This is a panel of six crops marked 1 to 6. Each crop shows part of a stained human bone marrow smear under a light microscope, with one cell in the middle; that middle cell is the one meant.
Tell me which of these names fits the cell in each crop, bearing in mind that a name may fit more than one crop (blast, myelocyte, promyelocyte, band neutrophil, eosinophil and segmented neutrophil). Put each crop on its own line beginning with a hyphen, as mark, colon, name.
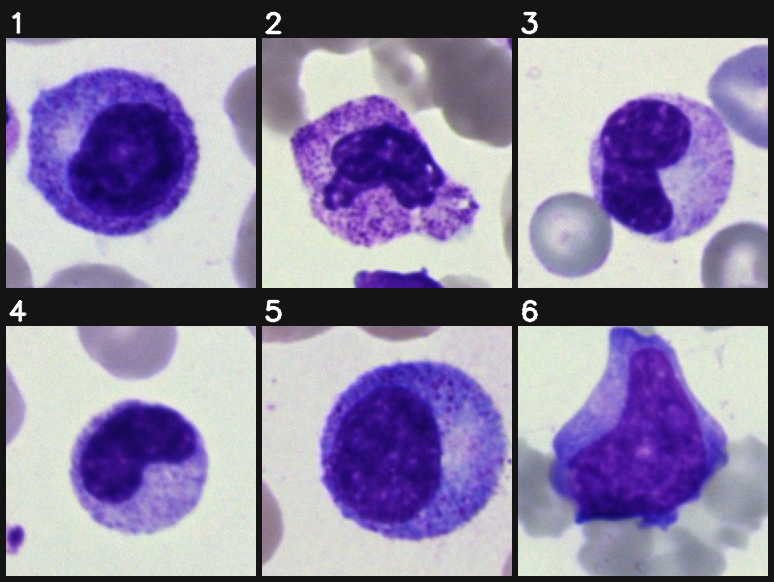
- 1: promyelocyte
- 2: segmented neutrophil
- 3: band neutrophil
- 4: band neutrophil
- 5: promyelocyte
- 6: blast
